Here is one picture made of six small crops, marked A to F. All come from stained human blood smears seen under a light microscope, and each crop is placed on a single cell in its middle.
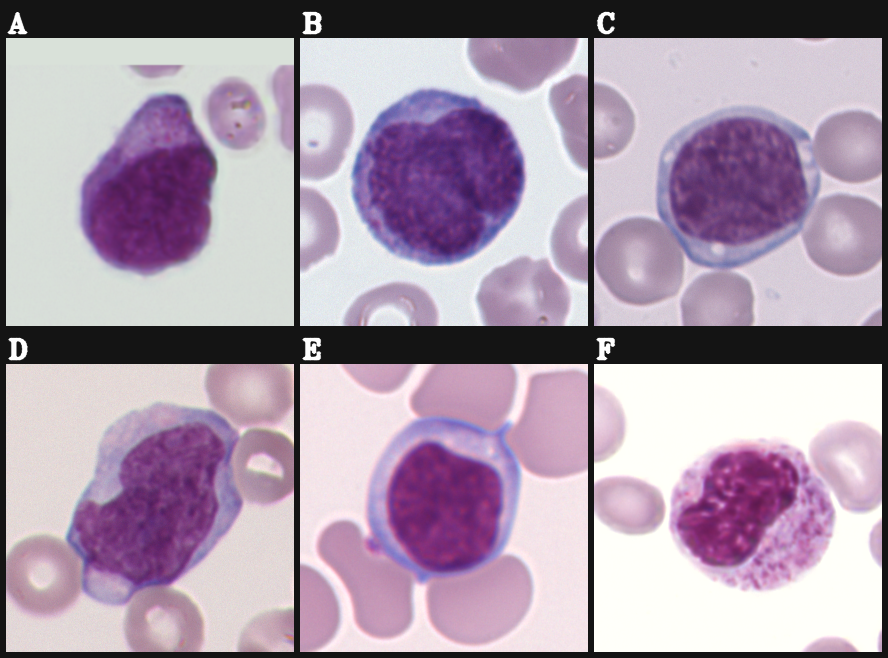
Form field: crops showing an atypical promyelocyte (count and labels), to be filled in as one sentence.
Of all the crops, three show atypical promyelocytes, those being A, B and D.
